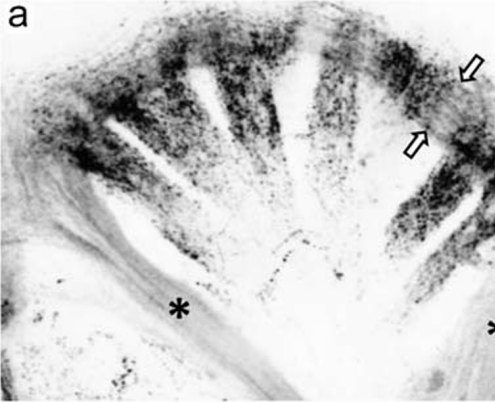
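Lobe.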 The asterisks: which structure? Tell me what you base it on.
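Faint grey fibrous streaks run from the central region toward the dark outer layer. The streaks are long and band-like rather than made of cell bodies. So: Bundles of neurites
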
